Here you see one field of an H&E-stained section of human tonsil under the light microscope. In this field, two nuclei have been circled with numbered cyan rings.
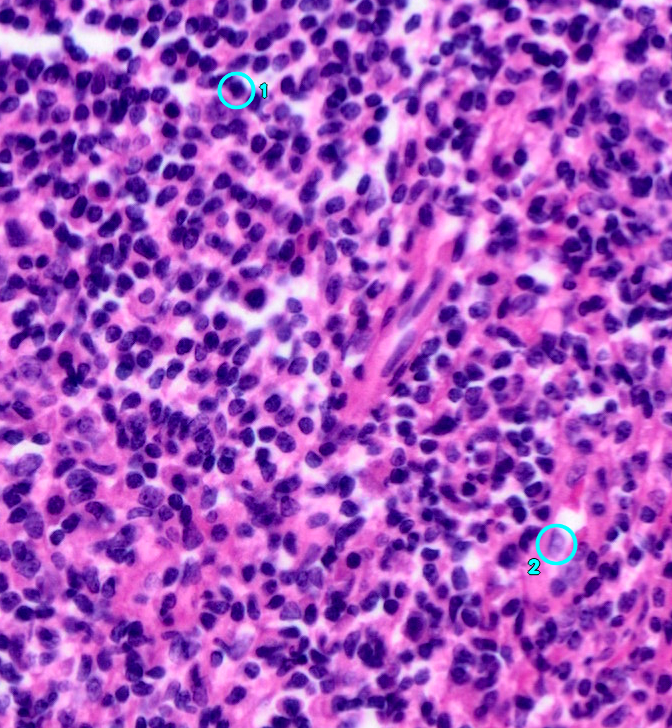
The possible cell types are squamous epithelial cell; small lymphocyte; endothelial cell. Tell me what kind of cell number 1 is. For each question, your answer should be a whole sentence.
The cell marked with number 1 is a small lymphocyte.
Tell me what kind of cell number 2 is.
The cell marked with number 2 is an endothelial cell.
